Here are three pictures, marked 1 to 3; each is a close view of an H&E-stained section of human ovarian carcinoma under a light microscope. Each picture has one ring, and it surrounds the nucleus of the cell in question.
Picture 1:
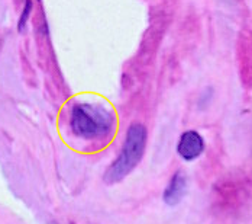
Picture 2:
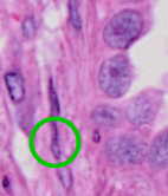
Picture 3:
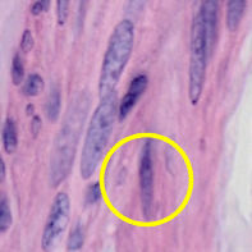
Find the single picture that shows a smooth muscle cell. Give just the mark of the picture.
3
